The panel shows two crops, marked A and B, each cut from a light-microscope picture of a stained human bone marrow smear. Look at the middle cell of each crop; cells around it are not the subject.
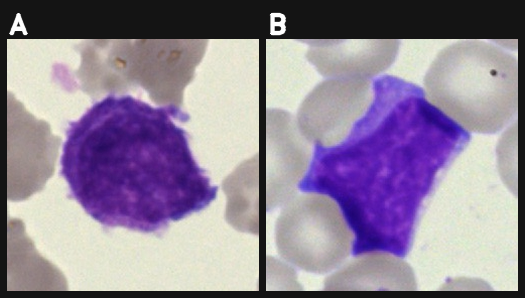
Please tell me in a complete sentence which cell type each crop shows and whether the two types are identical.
Yes, the cells under consideration in both crops are blasts.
